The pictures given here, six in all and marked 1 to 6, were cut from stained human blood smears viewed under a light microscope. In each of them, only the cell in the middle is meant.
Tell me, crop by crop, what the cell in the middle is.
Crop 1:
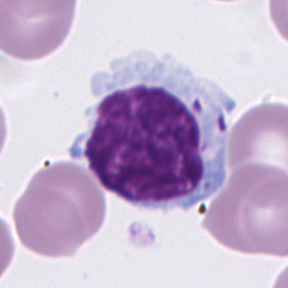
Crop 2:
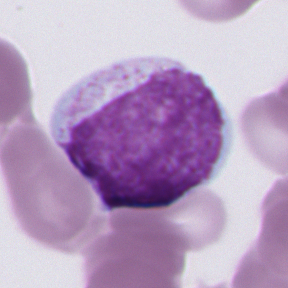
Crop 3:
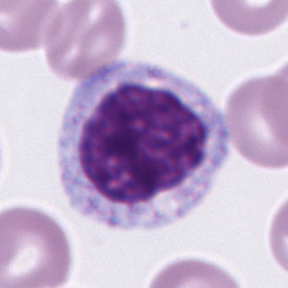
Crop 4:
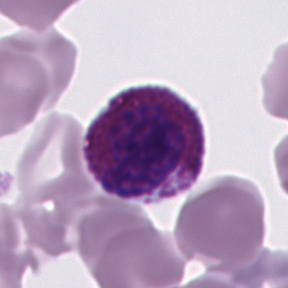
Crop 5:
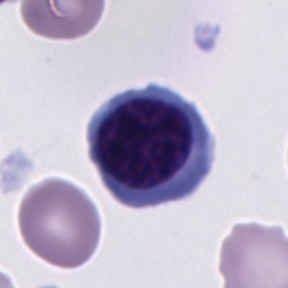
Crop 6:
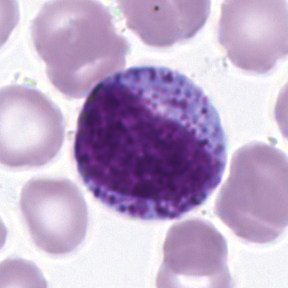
1: large granular lymphocyte
2: myelocyte
3: metamyelocyte
4: eosinophil
5: normoblast
6: myelocyte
